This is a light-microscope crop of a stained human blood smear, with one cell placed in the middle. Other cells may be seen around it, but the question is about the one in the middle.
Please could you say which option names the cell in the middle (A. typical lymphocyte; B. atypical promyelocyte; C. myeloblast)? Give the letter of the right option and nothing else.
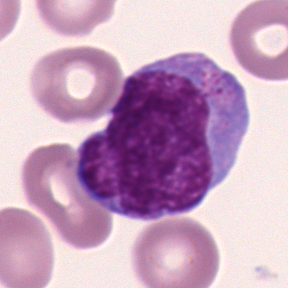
B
